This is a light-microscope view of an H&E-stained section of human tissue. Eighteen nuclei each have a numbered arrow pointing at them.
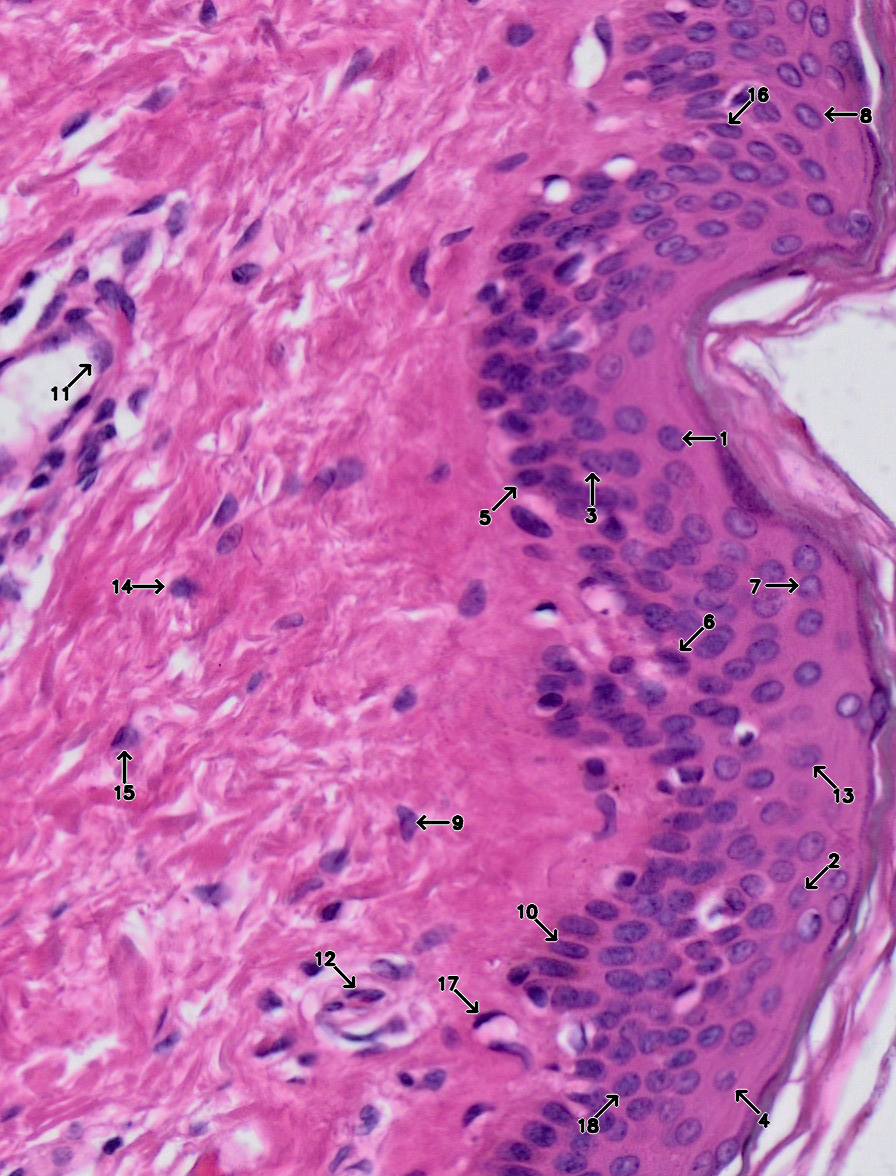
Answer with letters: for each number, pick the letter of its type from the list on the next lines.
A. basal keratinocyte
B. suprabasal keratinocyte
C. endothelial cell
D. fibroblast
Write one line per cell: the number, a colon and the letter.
1: B
2: B
3: B
4: B
5: A
6: A
7: B
8: B
9: D
10: A
11: C
12: C
13: B
14: D
15: D
16: A
17: D
18: B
